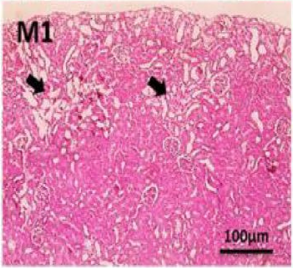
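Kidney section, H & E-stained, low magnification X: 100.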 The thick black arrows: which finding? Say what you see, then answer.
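The arrows point to areas of widened, pale tubular lumens. These spaces are larger than the lumens of neighbouring tubules. On this evidence: tubular dilation.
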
